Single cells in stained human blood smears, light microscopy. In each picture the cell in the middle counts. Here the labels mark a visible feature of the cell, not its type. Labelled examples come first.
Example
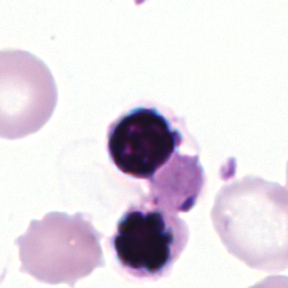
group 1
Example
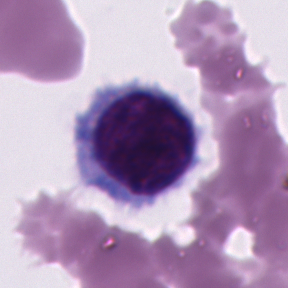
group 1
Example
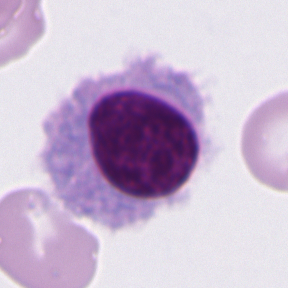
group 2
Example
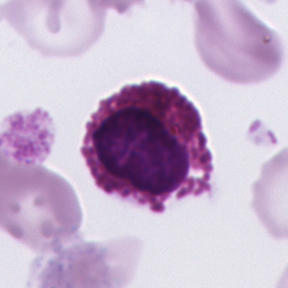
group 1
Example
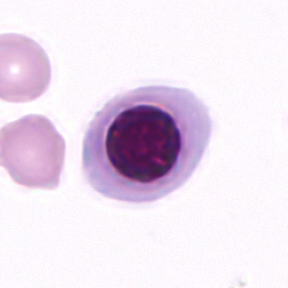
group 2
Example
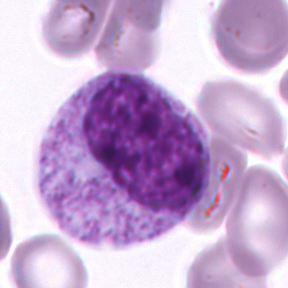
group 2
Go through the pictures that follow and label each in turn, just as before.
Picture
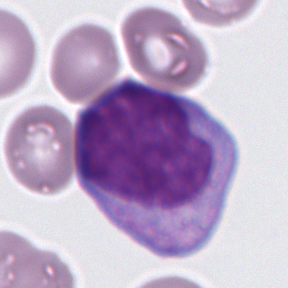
group 2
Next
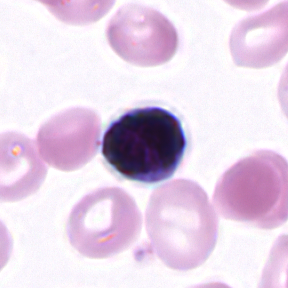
group 1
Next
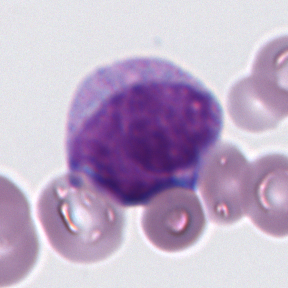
group 1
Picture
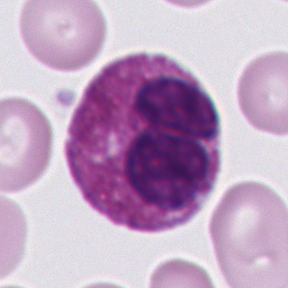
group 2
